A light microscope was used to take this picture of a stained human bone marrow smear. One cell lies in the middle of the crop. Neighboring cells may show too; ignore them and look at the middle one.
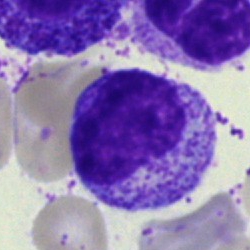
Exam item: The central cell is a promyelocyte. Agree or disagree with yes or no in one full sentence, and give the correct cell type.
No, wrong label: the middle cell is a myelocyte instead of a promyelocyte.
